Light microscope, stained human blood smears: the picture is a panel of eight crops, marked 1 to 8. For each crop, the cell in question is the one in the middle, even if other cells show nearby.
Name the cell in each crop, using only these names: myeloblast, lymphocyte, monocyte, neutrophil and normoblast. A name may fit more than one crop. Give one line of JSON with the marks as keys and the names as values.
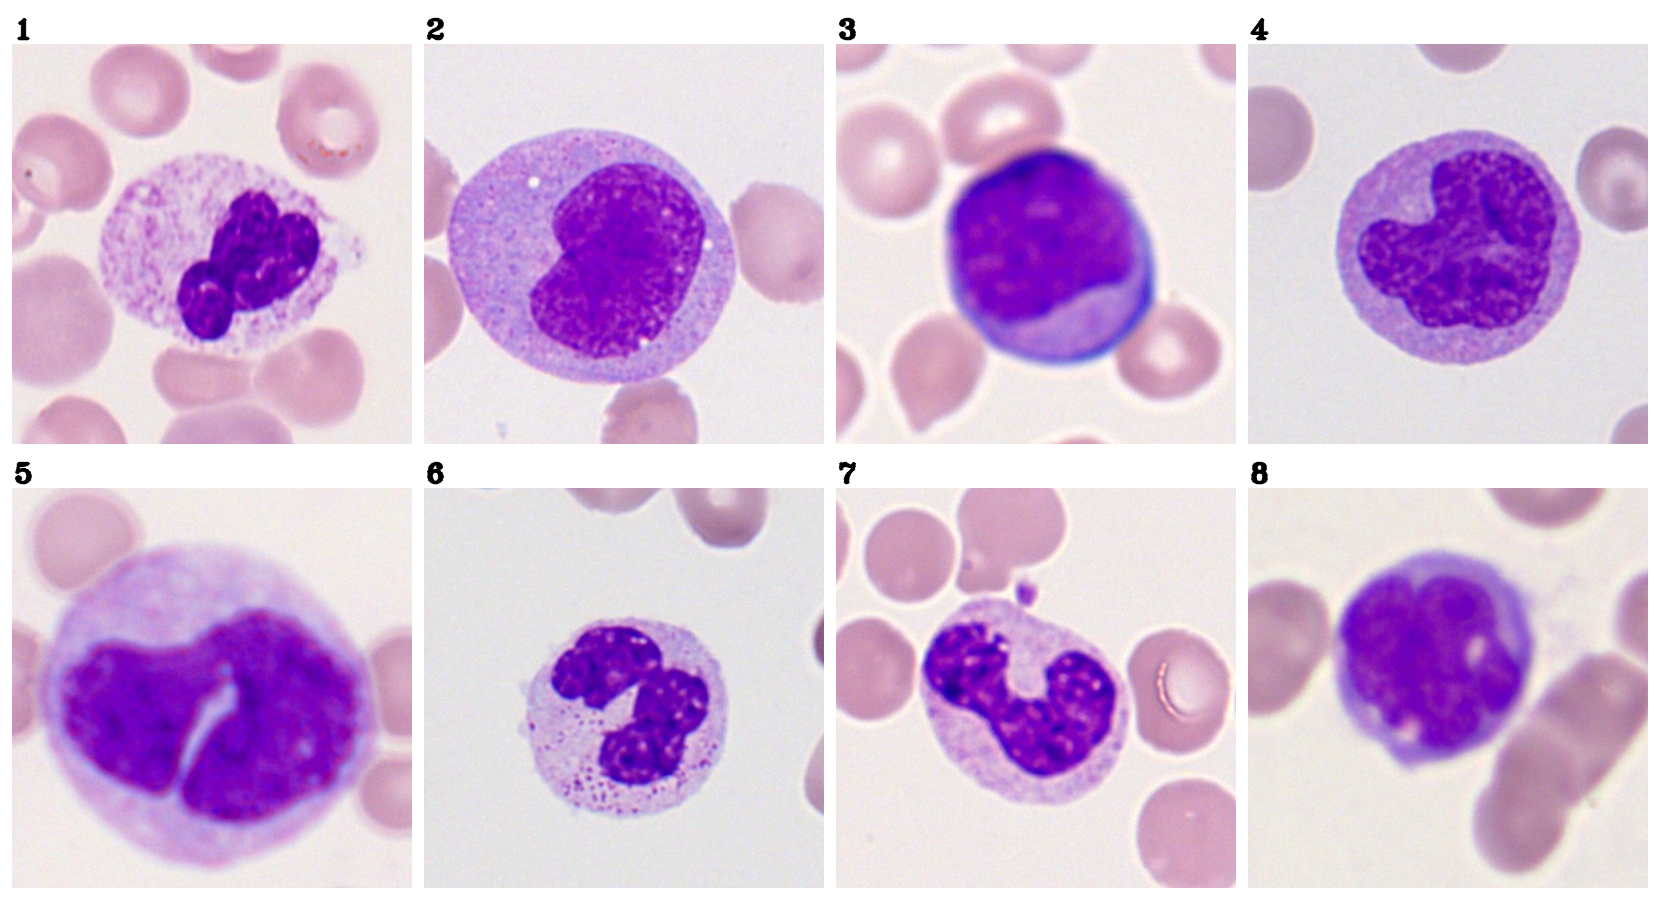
{"1": "neutrophil", "2": "monocyte", "3": "myeloblast", "4": "monocyte", "5": "monocyte", "6": "neutrophil", "7": "neutrophil", "8": "monocyte"}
